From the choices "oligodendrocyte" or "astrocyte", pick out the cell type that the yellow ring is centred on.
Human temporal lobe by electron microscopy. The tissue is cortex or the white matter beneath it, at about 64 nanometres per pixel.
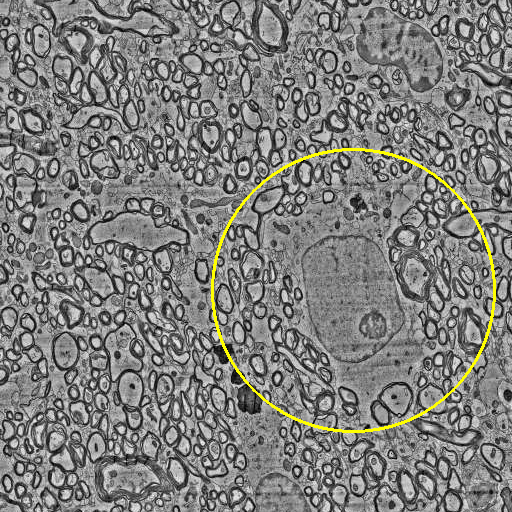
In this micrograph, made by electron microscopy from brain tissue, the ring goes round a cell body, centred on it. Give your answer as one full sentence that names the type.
The yellow ring is centred on an astrocyte, whose cell body it encircles in the picture.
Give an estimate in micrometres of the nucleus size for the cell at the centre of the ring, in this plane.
In this plane, roughly 8 by 6 micrometres.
